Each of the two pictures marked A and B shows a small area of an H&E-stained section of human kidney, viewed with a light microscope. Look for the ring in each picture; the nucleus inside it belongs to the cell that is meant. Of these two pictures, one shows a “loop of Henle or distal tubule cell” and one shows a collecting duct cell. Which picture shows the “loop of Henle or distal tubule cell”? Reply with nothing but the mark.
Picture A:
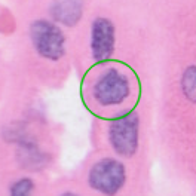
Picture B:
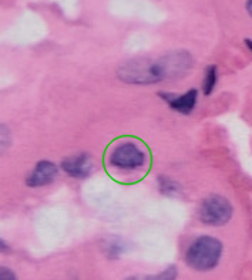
B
